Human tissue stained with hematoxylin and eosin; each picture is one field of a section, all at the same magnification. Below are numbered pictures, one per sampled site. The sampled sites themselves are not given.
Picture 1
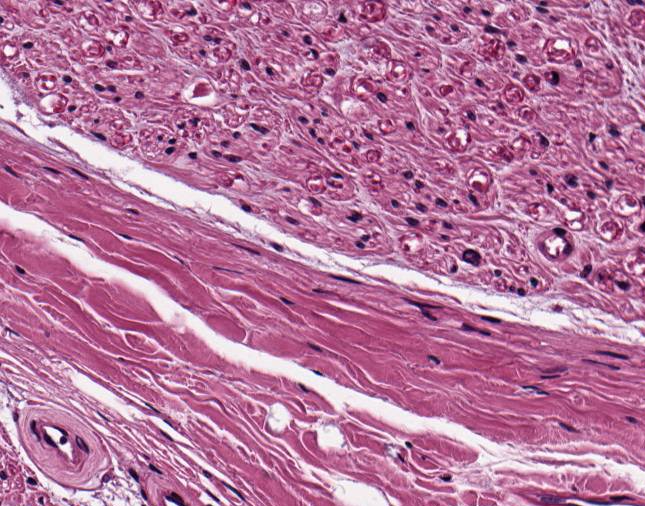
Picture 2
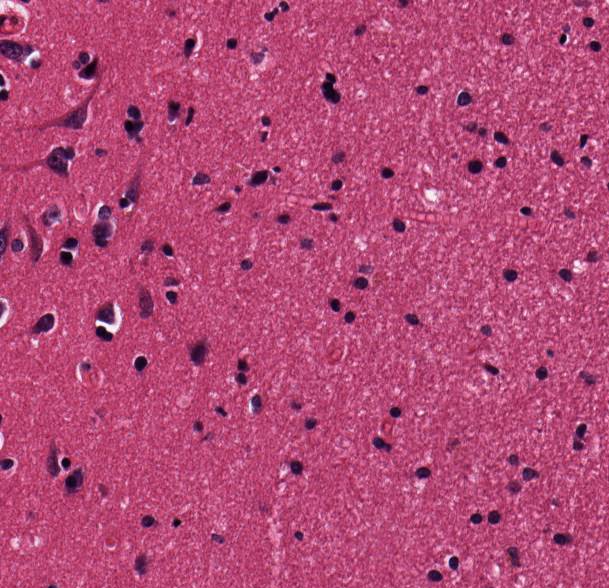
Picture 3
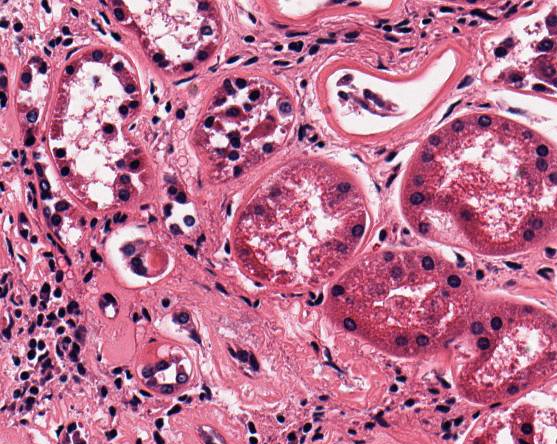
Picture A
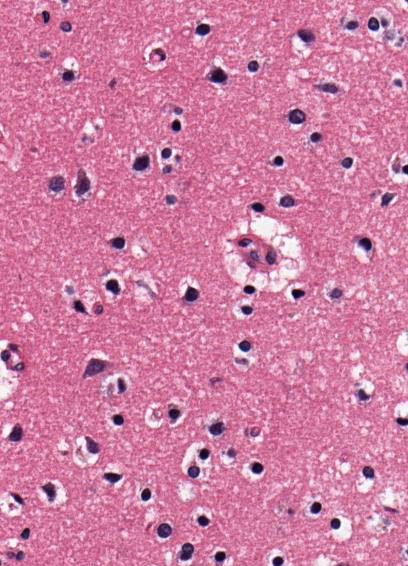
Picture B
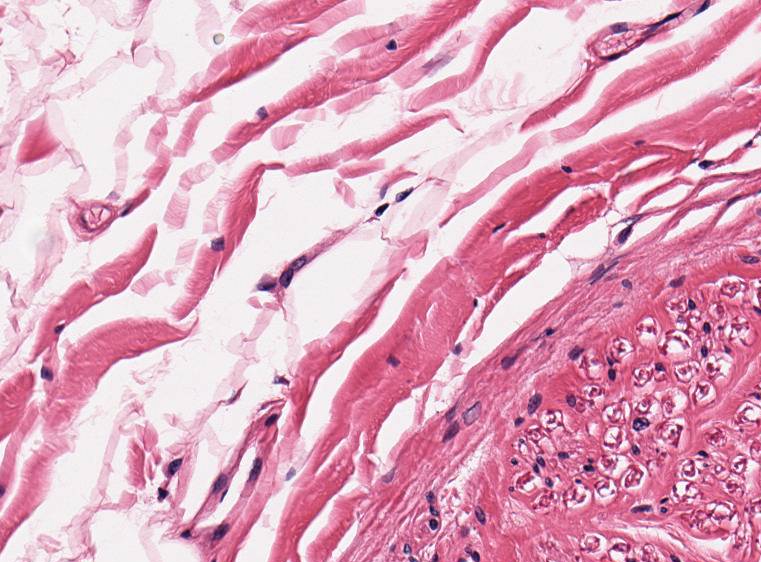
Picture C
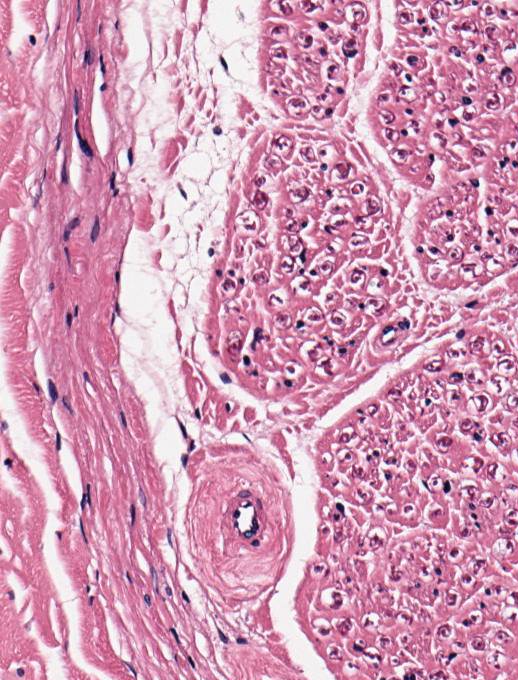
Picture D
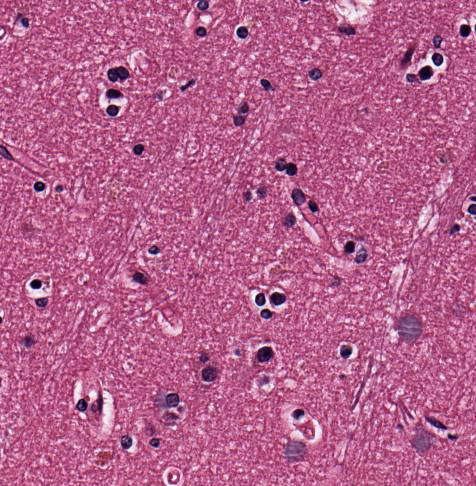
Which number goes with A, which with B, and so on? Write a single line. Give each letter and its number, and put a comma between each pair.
A 2, B 1, C 1, D 2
